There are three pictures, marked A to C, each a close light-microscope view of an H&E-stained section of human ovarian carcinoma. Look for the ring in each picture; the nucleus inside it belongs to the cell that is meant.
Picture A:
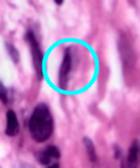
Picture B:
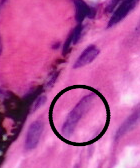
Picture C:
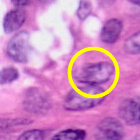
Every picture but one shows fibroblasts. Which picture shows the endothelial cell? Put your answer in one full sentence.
The cell in picture C is the endothelial cell.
